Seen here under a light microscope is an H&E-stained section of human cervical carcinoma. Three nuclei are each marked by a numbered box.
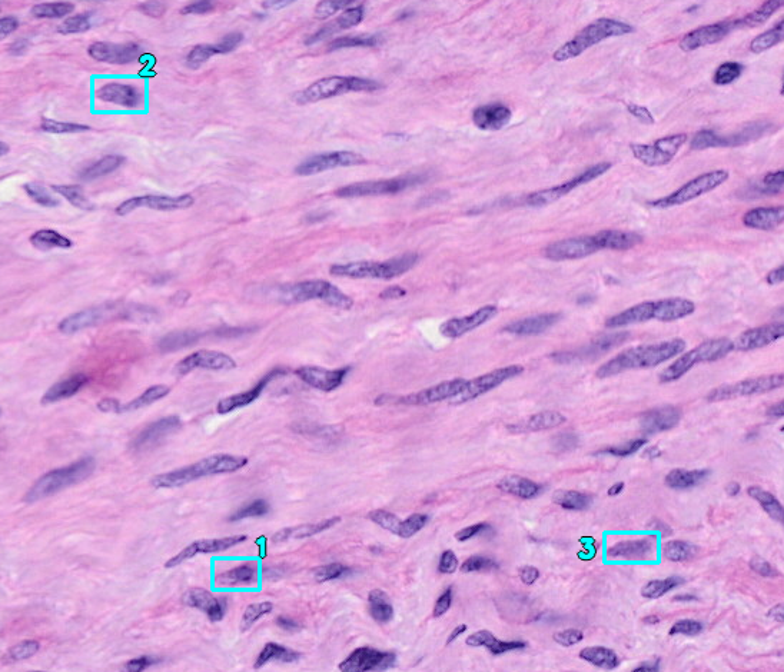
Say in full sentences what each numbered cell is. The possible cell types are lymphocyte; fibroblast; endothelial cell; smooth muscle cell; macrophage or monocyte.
Cells 1 and 3 are smooth muscle cells. Cell 2 is a fibroblast.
